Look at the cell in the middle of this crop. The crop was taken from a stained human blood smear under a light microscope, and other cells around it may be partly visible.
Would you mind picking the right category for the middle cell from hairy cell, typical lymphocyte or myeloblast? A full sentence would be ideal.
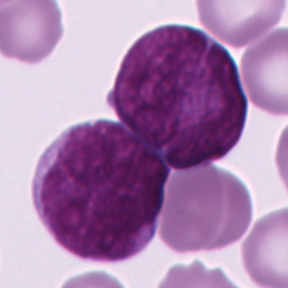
Located at the centre of the crop is a myeloblast.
